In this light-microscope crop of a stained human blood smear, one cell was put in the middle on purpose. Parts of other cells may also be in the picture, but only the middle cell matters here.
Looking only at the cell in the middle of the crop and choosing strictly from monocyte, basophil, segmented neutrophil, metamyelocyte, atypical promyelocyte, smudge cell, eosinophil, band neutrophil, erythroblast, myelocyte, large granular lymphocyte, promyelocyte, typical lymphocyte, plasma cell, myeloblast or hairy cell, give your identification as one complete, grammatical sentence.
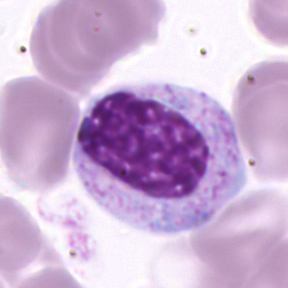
Present in the middle of the crop is a metamyelocyte.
